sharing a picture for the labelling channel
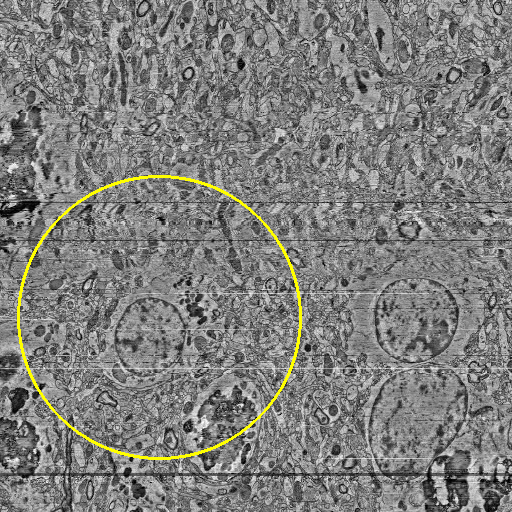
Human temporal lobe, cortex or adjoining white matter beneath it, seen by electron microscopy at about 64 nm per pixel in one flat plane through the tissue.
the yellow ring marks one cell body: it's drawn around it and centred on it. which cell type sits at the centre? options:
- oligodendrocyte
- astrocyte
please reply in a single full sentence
In the picture, the cell at the ring's centre is an astrocyte, going by the list.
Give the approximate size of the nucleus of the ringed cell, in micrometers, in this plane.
The nucleus of the ringed cell is approximately 5 by 4 micrometres in this plane.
